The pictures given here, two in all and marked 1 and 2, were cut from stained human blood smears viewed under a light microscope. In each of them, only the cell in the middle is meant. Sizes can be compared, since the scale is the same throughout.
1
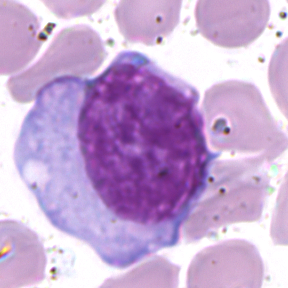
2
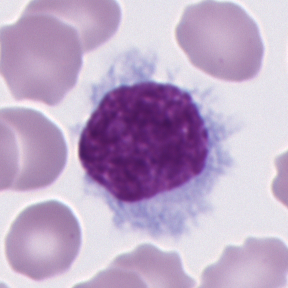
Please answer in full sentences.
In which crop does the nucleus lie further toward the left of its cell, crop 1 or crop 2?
Seen within its cell, the nucleus in crop 2 lies further toward the left.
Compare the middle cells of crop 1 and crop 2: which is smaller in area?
Smaller is the cell in crop 2, and the other is about 1.5 times as large in area.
